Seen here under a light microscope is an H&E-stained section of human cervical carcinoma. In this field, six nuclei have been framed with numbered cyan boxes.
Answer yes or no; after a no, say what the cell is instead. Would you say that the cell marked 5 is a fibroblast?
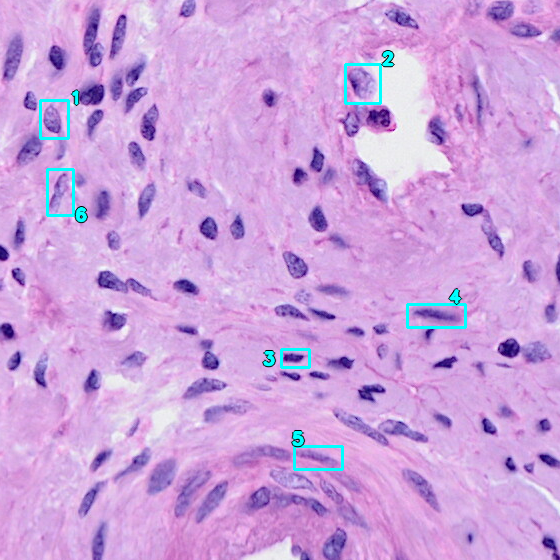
No, it is a smooth muscle cell.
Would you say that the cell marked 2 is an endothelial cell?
Yes.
